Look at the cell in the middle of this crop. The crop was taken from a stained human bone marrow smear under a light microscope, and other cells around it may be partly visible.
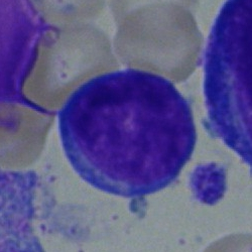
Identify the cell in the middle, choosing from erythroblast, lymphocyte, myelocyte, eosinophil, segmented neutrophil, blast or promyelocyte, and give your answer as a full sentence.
The cell in the middle of the field of view is a blast.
